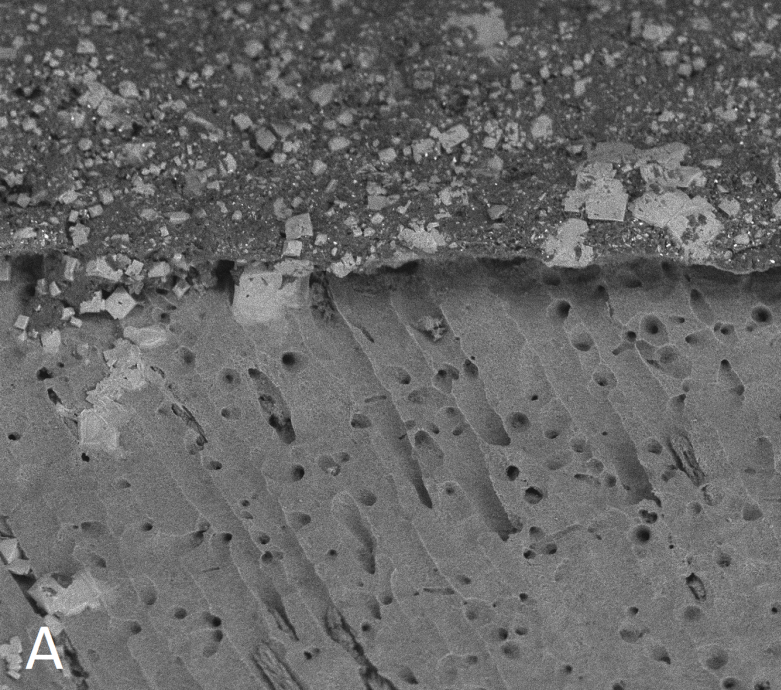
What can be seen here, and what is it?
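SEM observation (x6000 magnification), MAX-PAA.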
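This is a fractured cross-section of dentin, with the dentinal tubules seen as many small dark round openings and obliquely running channels in a smooth matrix. Above it lies a distinct granular layer of material containing angular particles of varied size, separated from the dentin by a fairly sharp boundary.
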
